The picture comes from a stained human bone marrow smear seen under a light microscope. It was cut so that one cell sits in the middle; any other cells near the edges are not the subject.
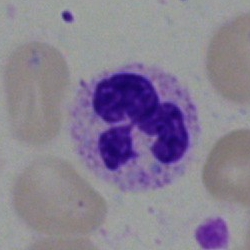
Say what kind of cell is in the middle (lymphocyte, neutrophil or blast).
neutrophil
